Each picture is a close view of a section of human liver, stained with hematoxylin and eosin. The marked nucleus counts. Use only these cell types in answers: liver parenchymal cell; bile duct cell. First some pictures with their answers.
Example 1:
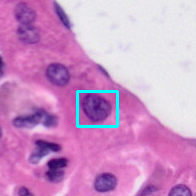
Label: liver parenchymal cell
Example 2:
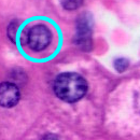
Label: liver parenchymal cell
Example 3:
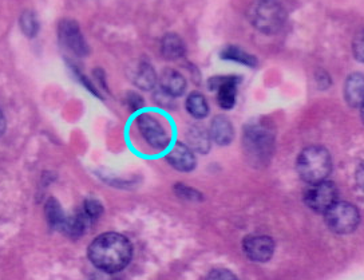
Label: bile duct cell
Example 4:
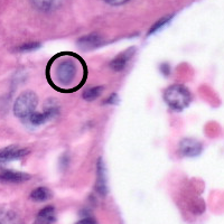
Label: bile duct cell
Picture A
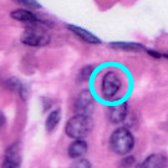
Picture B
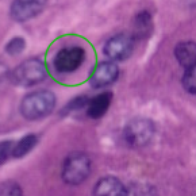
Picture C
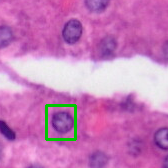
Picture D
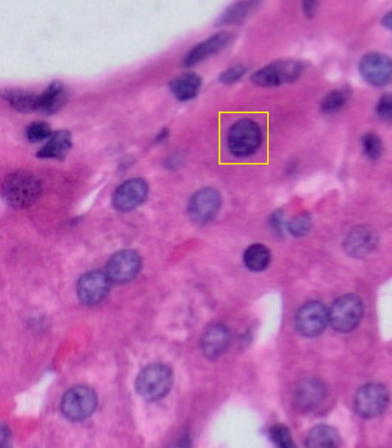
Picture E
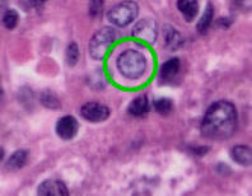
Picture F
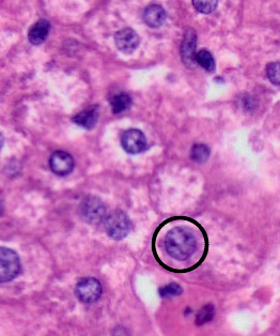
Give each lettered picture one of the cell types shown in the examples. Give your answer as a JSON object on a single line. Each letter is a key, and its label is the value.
{"A": "bile duct cell", "B": "bile duct cell", "C": "liver parenchymal cell", "D": "liver parenchymal cell", "E": "bile duct cell", "F": "liver parenchymal cell"}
